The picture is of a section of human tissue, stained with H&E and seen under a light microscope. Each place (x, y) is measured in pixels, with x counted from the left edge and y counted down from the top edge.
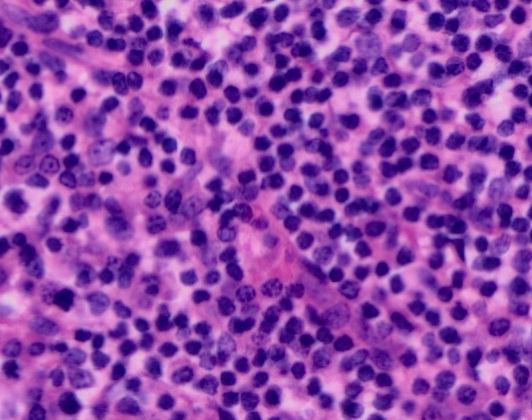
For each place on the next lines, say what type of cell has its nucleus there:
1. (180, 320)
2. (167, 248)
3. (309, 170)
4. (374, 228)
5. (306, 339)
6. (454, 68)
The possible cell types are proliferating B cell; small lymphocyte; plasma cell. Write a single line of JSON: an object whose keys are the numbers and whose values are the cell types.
{"1": "small lymphocyte", "2": "proliferating B cell", "3": "small lymphocyte", "4": "plasma cell", "5": "small lymphocyte", "6": "small lymphocyte"}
